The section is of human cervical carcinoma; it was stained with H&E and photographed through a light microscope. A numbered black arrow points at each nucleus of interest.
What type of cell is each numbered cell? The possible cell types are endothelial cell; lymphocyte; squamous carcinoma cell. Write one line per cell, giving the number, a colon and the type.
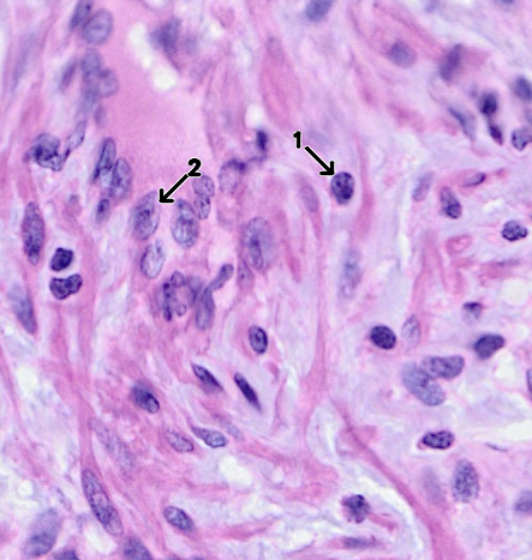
1: lymphocyte
2: endothelial cell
